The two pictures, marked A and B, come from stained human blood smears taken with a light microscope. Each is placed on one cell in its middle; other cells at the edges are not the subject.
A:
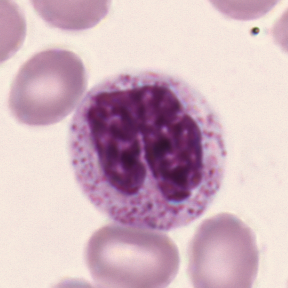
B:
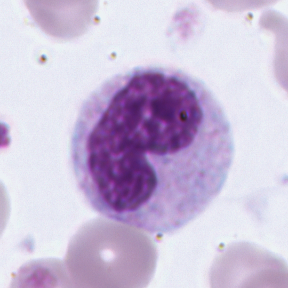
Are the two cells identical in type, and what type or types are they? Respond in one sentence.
Yes, it is band neutrophils that sit at the centre of both crops.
